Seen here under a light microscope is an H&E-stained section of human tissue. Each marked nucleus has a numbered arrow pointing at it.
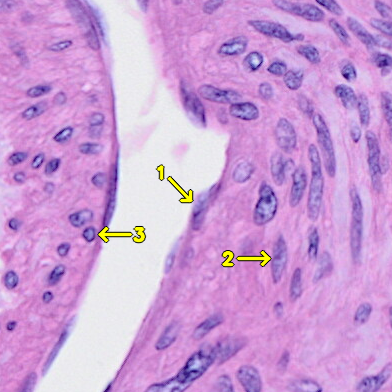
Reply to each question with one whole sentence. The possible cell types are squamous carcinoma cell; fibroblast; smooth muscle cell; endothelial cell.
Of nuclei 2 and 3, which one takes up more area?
It is nucleus 2, which covers about 3 times the area of nucleus 3.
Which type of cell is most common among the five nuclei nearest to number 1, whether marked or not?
Around number 1, most of the five nearest nuclei are those of smooth muscle cells.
